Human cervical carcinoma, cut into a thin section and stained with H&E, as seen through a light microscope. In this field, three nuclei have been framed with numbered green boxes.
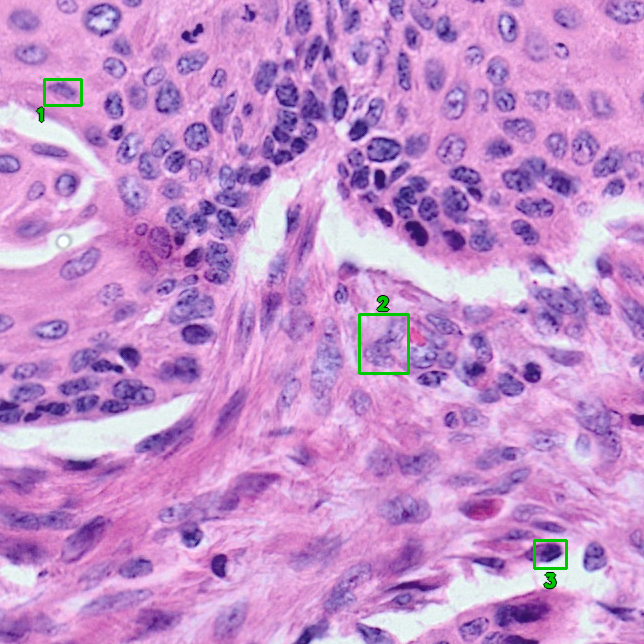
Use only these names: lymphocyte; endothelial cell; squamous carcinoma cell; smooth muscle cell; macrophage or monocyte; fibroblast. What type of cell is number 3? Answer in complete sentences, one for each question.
The marked cell with the number 3 is recognised as a lymphocyte.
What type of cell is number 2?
The correct label for cell 2 is an endothelial cell.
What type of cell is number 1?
The cell assigned the number 1 is a squamous carcinoma cell.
